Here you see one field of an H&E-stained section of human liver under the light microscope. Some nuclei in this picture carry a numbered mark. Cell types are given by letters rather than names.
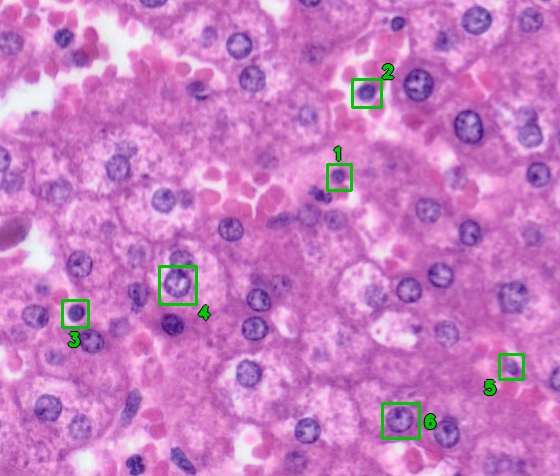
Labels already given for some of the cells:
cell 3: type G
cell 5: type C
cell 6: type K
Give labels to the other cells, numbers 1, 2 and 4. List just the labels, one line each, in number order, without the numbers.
type G
type G
type K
